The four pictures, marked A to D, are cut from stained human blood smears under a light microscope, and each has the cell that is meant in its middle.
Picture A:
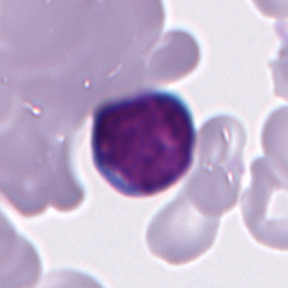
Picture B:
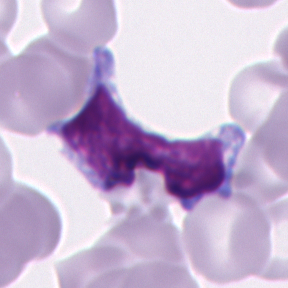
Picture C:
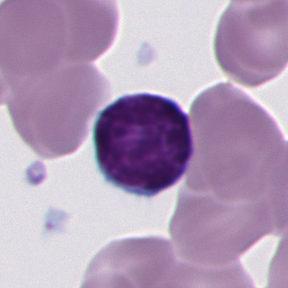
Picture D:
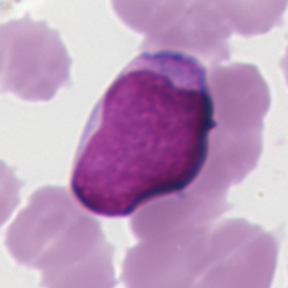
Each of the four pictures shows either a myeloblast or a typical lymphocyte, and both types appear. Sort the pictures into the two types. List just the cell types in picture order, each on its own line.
typical lymphocyte
typical lymphocyte
typical lymphocyte
myeloblast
